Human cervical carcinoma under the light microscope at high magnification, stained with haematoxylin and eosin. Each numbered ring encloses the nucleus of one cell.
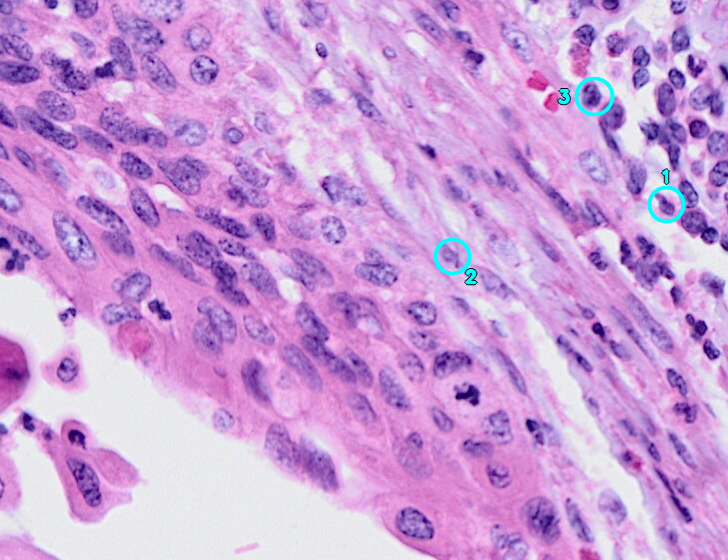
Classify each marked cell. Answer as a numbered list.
1. lymphocyte
2. fibroblast
3. lymphocyte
